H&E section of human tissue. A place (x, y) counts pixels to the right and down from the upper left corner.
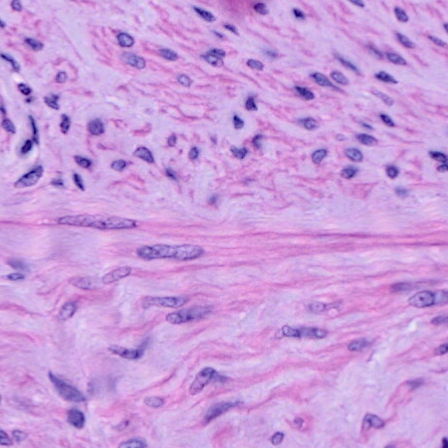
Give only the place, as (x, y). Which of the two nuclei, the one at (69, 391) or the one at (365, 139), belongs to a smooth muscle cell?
(365, 139)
